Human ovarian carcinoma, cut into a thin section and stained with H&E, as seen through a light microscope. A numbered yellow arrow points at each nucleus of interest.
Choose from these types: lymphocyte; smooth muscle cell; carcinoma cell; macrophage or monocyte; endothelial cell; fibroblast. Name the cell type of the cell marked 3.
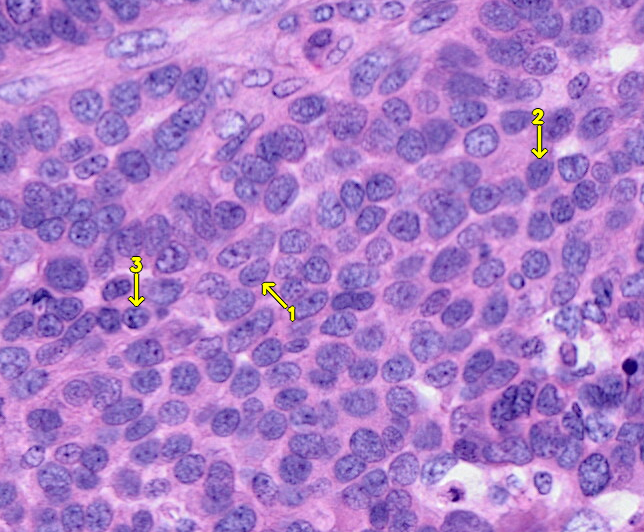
macrophage or monocyte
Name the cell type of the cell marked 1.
carcinoma cell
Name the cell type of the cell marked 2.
carcinoma cell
